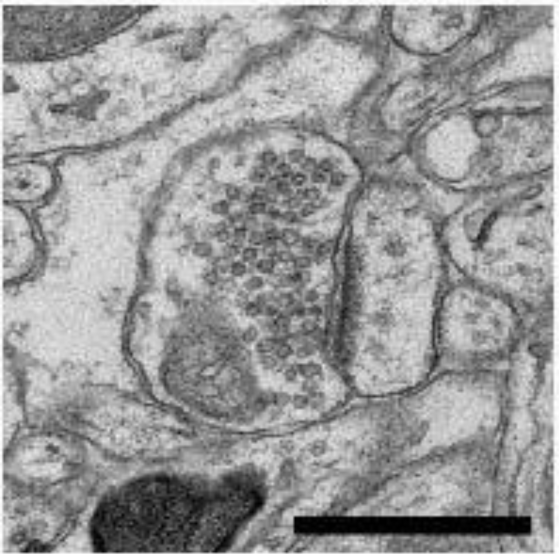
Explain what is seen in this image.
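Neuropil with an asymmetric synapse: a large presynaptic bouton, outlined by its membrane, is filled with a dense cluster of small round clear synaptic vesicles. A mitochondrion with cristae sits in the lower part of the bouton. On the right the bouton contacts a postsynaptic profile across a narrow cleft, and a thick, dark, elongated postsynaptic density lines the receiving side. The vesicles gather toward this contact. Around the synapse lie many cut profiles of axons, dendrites and glial processes with pale cytoplasm, and a very dark, compact profile sits in the lower left.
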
